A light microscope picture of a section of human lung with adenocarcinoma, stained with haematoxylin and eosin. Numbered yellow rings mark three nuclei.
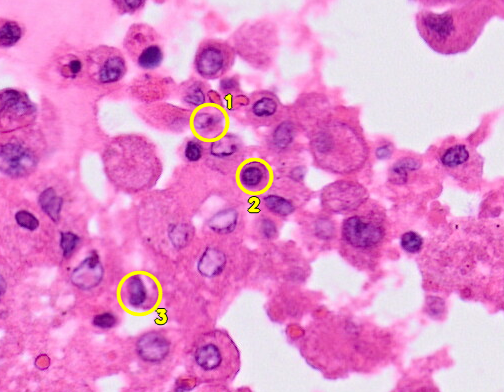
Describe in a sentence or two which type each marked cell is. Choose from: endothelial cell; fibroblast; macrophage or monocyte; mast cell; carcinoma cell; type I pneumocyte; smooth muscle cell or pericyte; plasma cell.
Cells 1 and 3 are macrophages or monocytes. Cell 2 is a plasma cell.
